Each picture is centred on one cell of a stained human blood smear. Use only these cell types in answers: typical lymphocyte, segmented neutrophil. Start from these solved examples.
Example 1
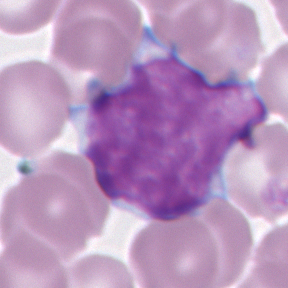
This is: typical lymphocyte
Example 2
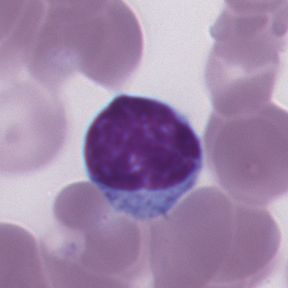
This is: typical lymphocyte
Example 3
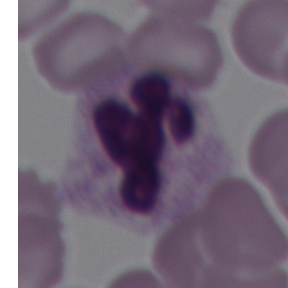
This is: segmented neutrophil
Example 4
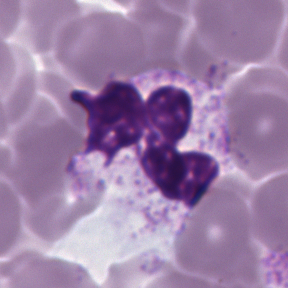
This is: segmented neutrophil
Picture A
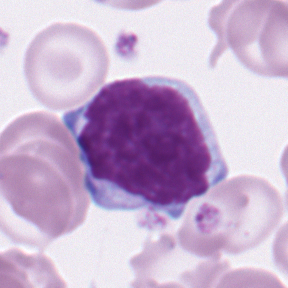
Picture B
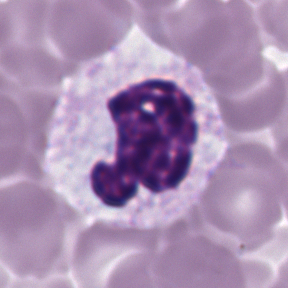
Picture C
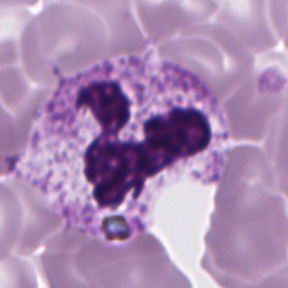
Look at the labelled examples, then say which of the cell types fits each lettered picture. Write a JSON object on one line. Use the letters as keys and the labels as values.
{"A": "typical lymphocyte", "B": "segmented neutrophil", "C": "segmented neutrophil"}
